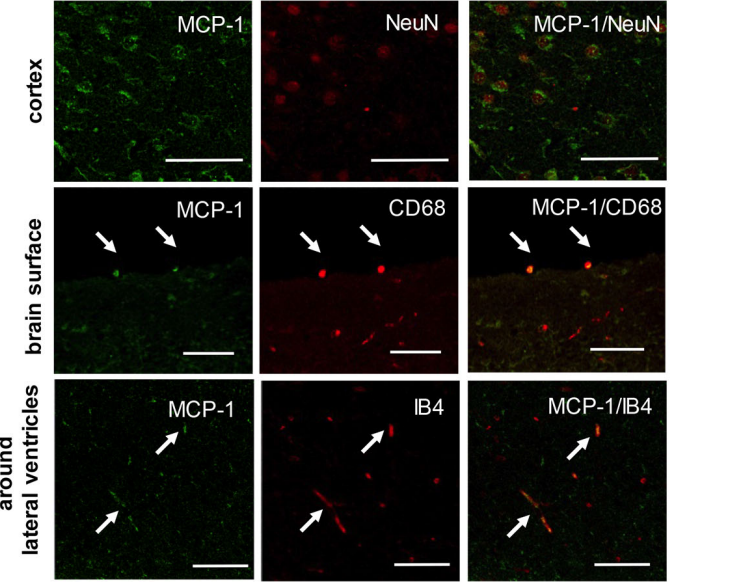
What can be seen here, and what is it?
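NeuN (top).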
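Three rows of fluorescence images show neurons in the cortex, macrophages on the brain surface and endothelial cells near the lateral ventricles. In the middle row, a few small rounded cells perch on the dark edge of the brain; they are red and green at once and turn orange in the merge. In the bottom row, red elongated vessel-like profiles and small red dots lie in the tissue, and the arrowed ones also carry green.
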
